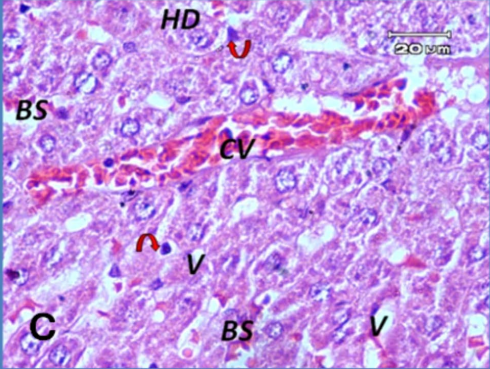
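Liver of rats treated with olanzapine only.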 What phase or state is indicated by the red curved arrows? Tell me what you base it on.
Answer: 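The arrows point to small cells with dense, dark, condensed nuclei. These cells are smaller than the surrounding hepatocytes.
Apoptotic cells.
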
